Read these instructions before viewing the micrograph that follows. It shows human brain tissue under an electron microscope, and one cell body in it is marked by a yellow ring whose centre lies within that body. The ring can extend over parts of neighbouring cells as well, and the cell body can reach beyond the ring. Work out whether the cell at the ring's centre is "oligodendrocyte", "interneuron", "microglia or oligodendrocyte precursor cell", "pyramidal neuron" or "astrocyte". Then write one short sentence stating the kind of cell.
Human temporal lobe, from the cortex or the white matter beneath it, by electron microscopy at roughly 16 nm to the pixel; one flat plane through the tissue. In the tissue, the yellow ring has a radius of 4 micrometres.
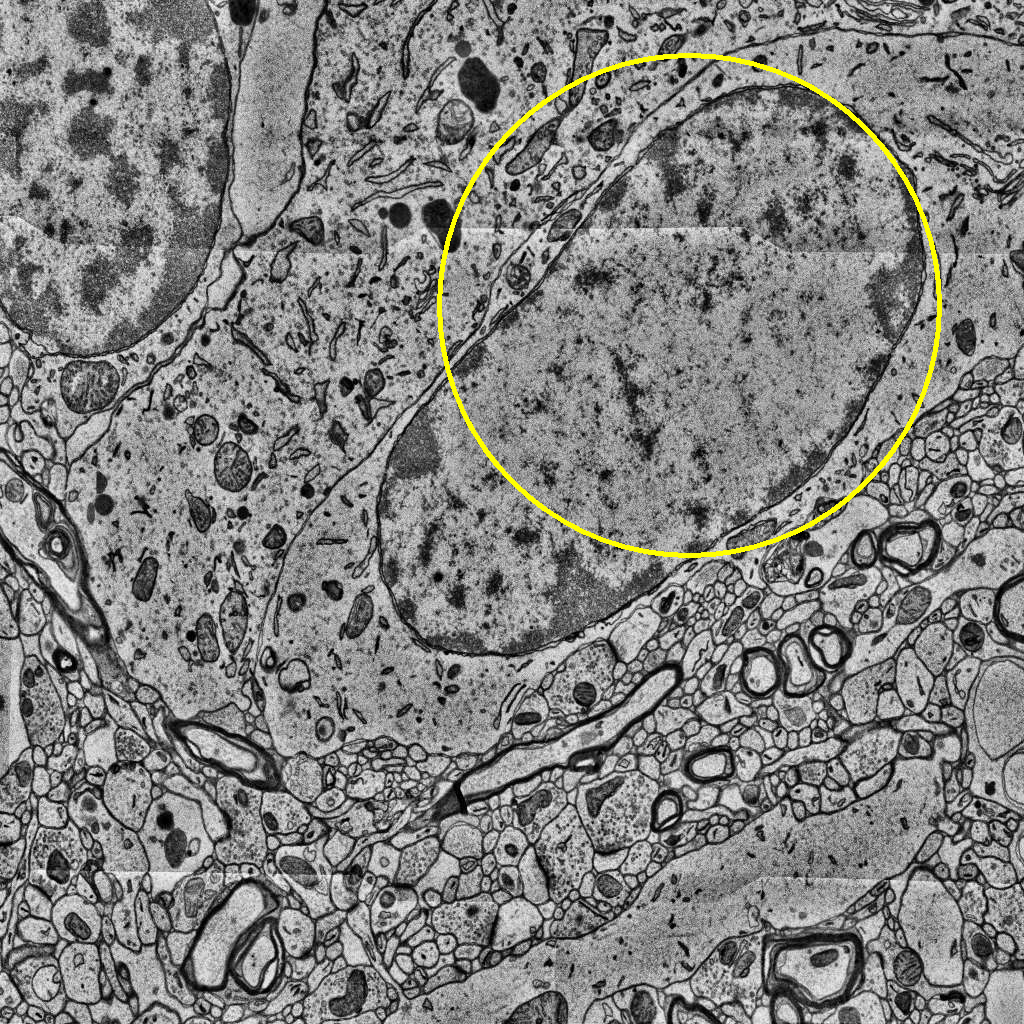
The cell at the ring's centre is a microglial cell or oligodendrocyte precursor cell.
